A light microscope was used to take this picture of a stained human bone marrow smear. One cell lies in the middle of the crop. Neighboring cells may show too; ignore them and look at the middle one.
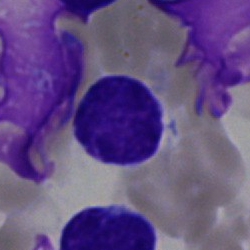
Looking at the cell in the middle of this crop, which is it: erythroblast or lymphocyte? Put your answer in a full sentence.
At the middle of the frame sits a lymphocyte.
